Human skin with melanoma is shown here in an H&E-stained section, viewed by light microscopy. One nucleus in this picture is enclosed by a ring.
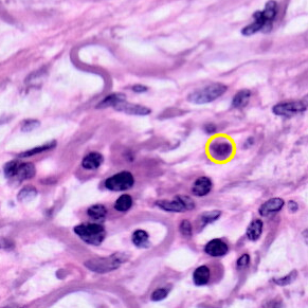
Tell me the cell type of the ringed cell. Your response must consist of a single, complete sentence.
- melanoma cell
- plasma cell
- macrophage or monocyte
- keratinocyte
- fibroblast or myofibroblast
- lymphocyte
On this particular slide, the ringed cell is a plasma cell.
